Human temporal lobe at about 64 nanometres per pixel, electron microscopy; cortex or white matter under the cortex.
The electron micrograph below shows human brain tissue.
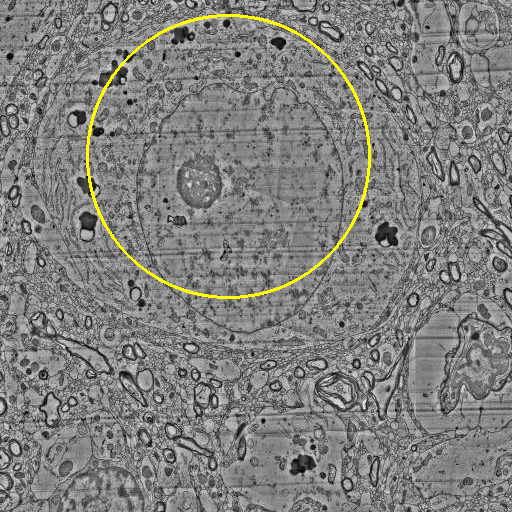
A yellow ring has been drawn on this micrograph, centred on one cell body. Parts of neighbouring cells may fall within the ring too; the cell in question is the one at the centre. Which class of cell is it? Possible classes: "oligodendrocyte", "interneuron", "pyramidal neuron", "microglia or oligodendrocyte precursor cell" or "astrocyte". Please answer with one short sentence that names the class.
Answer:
In the centre of the ring sits a pyramidal neuron.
